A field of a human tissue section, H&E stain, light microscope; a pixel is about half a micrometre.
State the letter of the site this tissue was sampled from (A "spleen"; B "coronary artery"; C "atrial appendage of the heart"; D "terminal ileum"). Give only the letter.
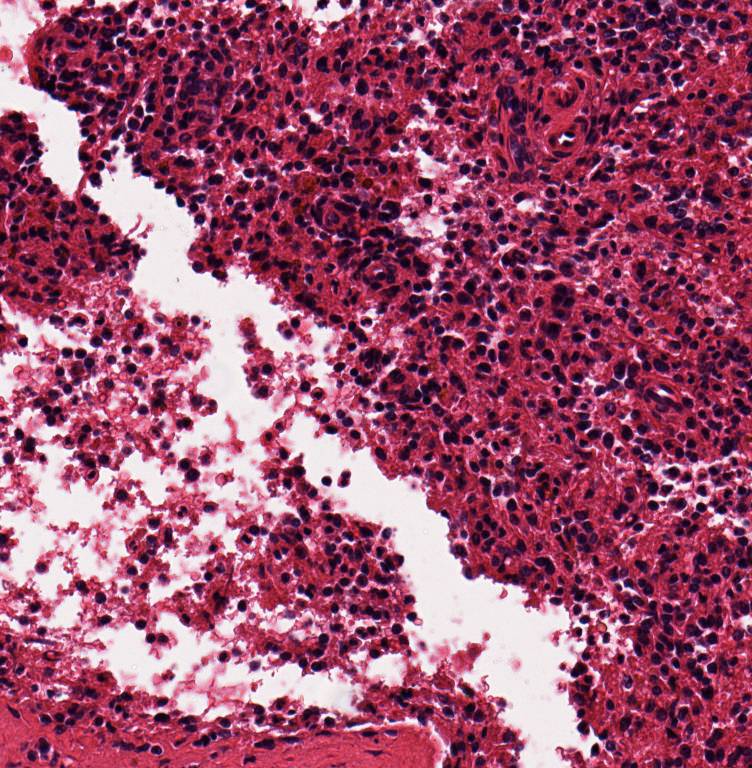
A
